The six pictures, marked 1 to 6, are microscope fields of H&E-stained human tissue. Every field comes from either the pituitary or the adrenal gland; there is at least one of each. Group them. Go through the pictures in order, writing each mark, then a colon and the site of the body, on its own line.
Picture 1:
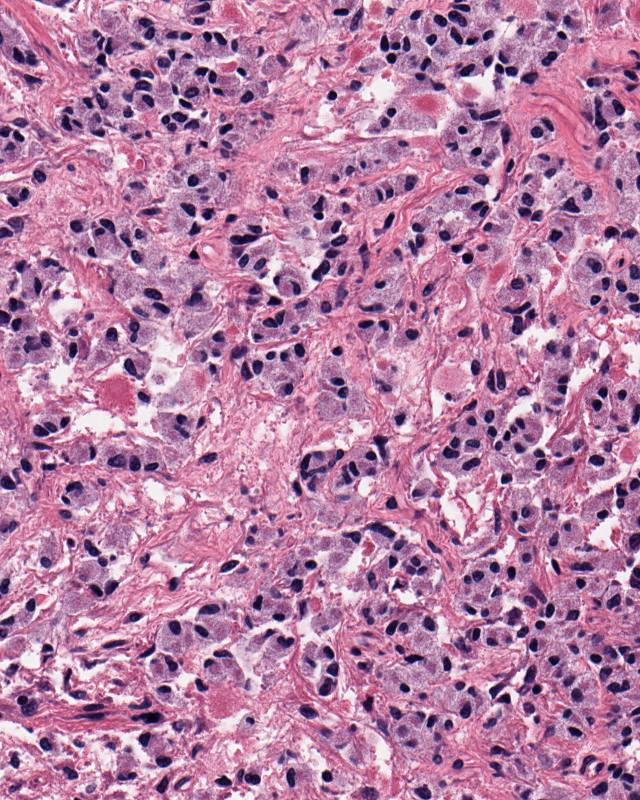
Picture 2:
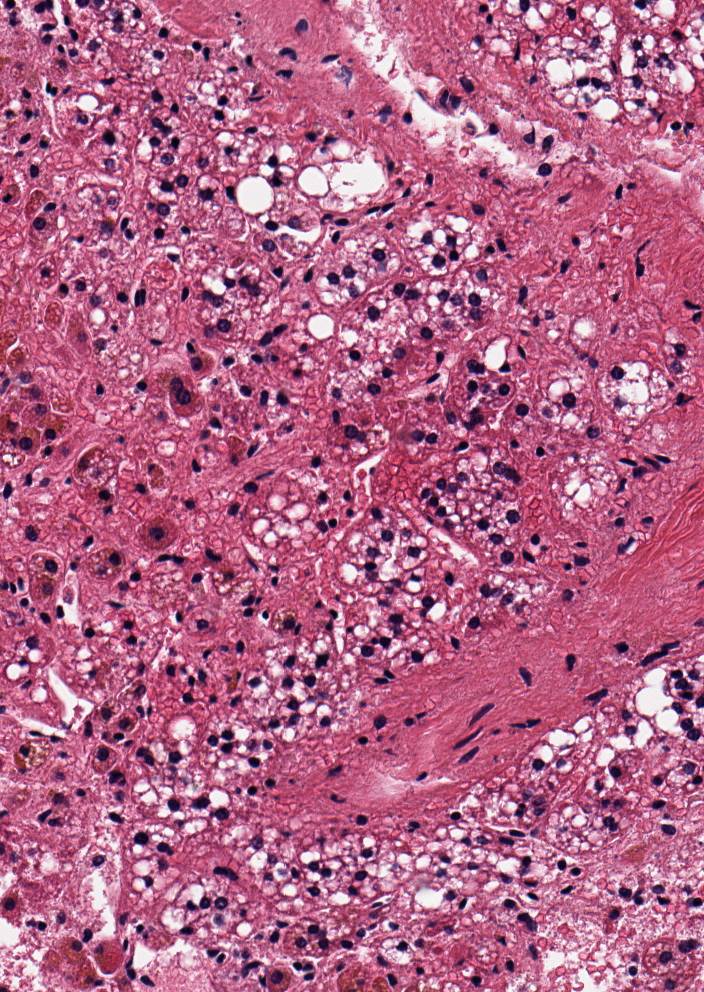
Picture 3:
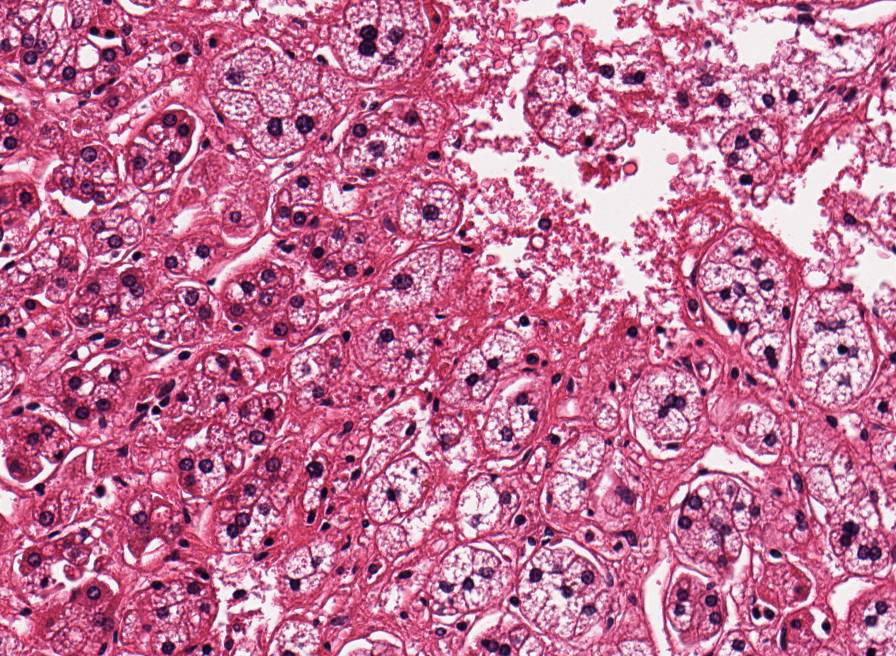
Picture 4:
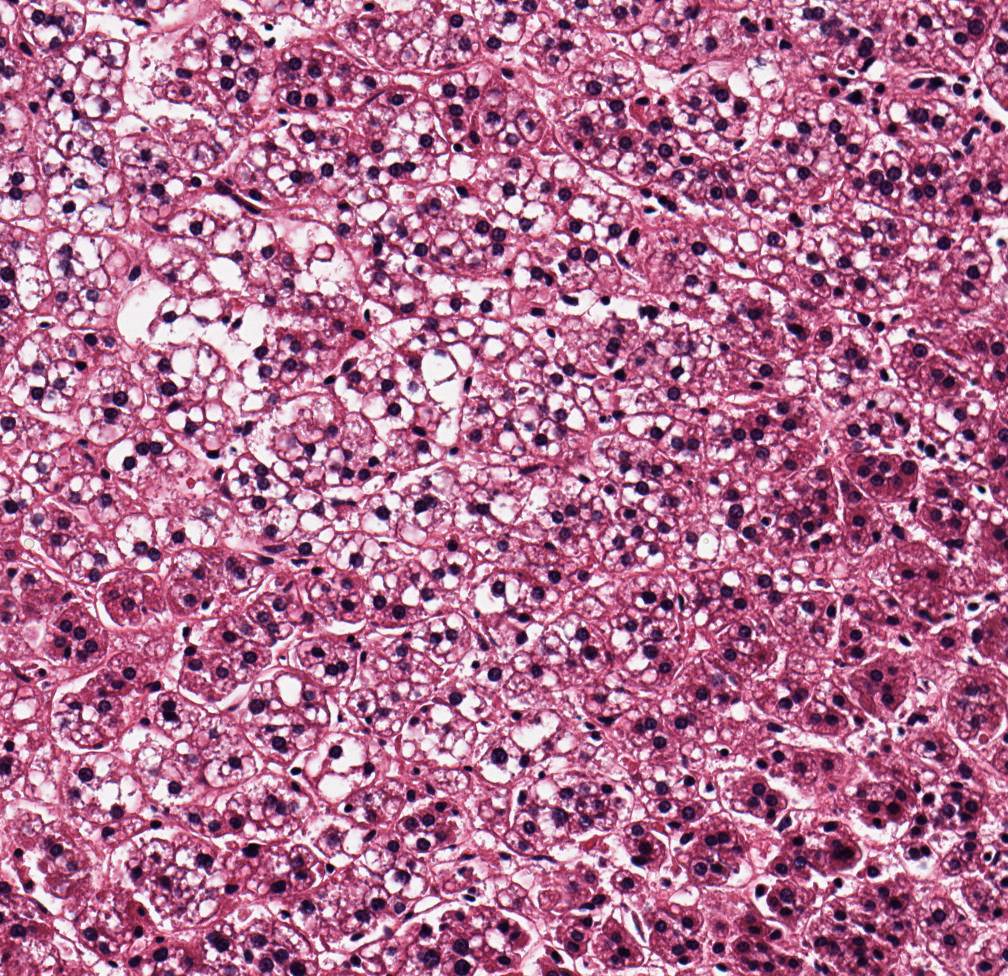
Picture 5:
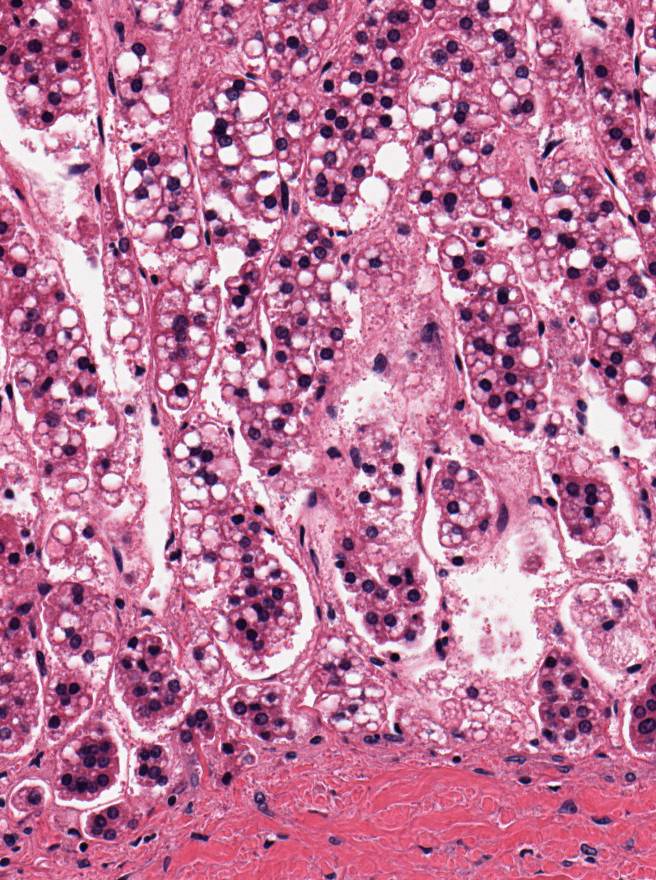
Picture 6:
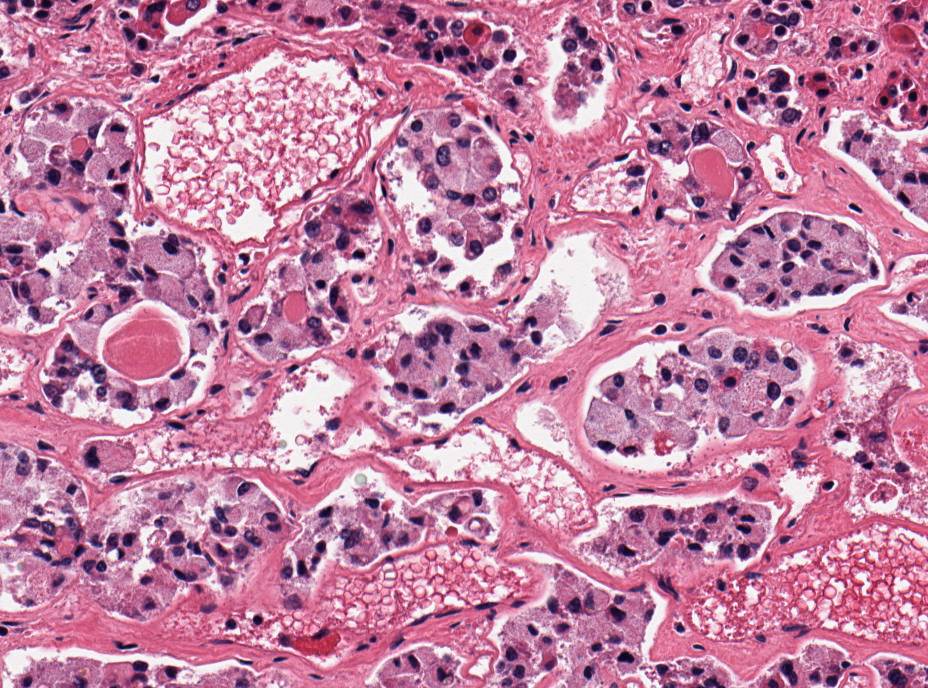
1: pituitary
2: adrenal gland
3: adrenal gland
4: adrenal gland
5: adrenal gland
6: pituitary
